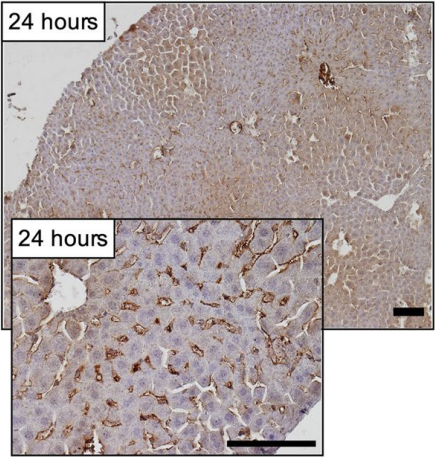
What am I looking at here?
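Liver parenchyma with cords of hepatocytes separated by narrow sinusoidal spaces. Hepatocytes are polygonal with round blue nuclei and largely pale cytoplasm. Intense dark brown stain outlines the sinusoidal spaces between the cords, forming a branching network. A vessel lumen lies at the upper left with a stained rim. Brown stain is patchy, heavier in some regions of the lobule than others.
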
